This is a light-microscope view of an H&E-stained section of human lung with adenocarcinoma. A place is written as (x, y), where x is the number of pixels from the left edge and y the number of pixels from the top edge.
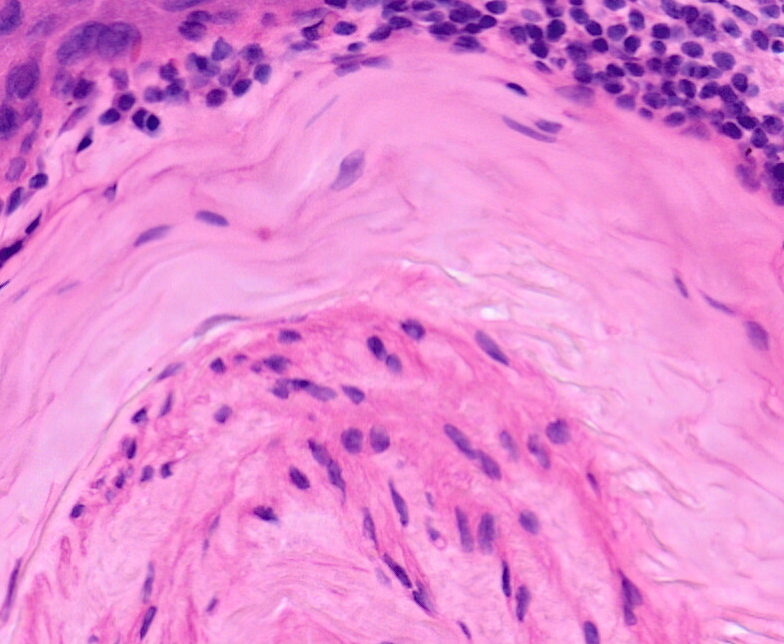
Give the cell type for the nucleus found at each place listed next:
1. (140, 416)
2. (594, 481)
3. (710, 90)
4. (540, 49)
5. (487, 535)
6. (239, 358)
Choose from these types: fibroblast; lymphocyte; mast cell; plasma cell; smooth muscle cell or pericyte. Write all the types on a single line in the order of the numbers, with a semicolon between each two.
smooth muscle cell or pericyte; smooth muscle cell or pericyte; lymphocyte; lymphocyte; smooth muscle cell or pericyte; smooth muscle cell or pericyte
